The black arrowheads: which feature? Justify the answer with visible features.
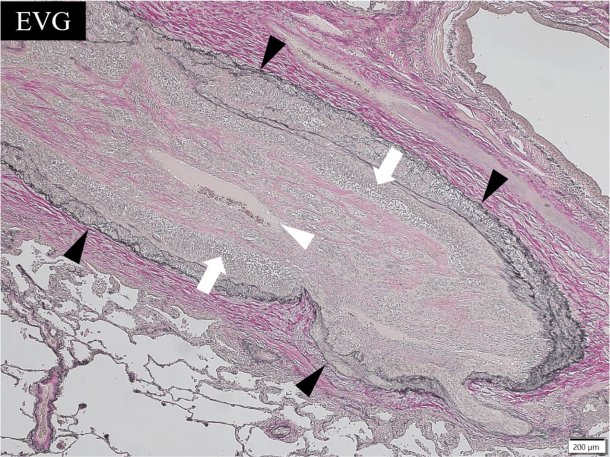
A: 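The black arrowheads point to a dark black wavy band running along the wall. Pink-red collagen bundles lie outside the black band.
Conclusion: elastic fibers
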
